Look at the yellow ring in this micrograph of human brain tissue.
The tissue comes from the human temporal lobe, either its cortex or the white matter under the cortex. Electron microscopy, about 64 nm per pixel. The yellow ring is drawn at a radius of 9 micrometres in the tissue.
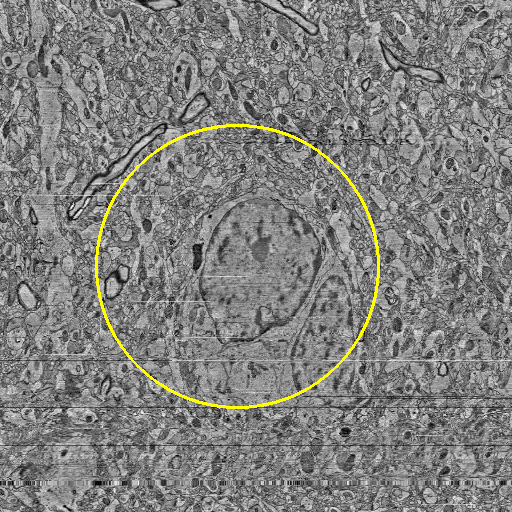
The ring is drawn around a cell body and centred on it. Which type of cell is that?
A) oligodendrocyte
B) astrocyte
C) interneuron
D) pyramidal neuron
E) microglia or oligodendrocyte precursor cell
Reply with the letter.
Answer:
E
